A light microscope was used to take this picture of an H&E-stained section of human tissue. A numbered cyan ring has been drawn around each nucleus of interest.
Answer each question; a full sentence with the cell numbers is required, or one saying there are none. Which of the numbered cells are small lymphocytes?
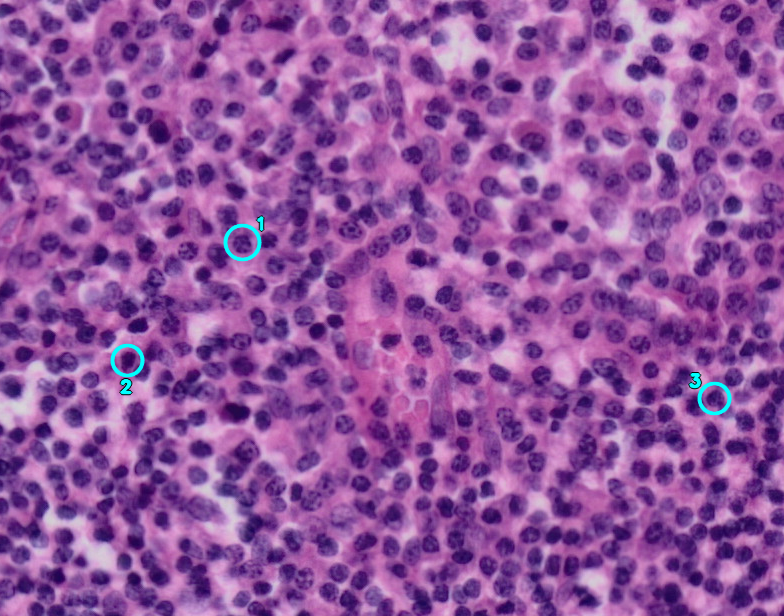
Cell 3 is the single numbered cell that is a small lymphocyte.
